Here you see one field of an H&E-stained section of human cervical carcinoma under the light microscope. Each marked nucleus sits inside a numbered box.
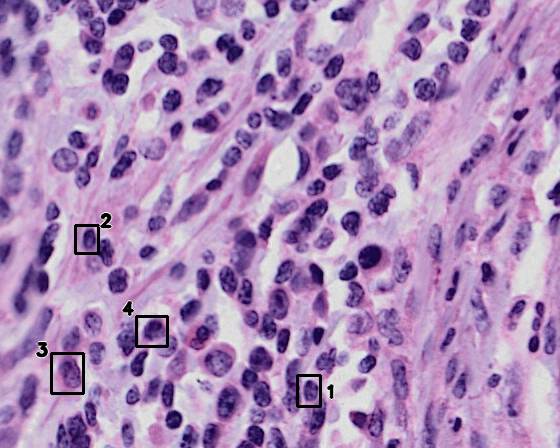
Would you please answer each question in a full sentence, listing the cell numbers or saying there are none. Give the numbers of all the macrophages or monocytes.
The cell labelled 3 is a macrophage or monocyte, while the remaining numbered cells are not.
